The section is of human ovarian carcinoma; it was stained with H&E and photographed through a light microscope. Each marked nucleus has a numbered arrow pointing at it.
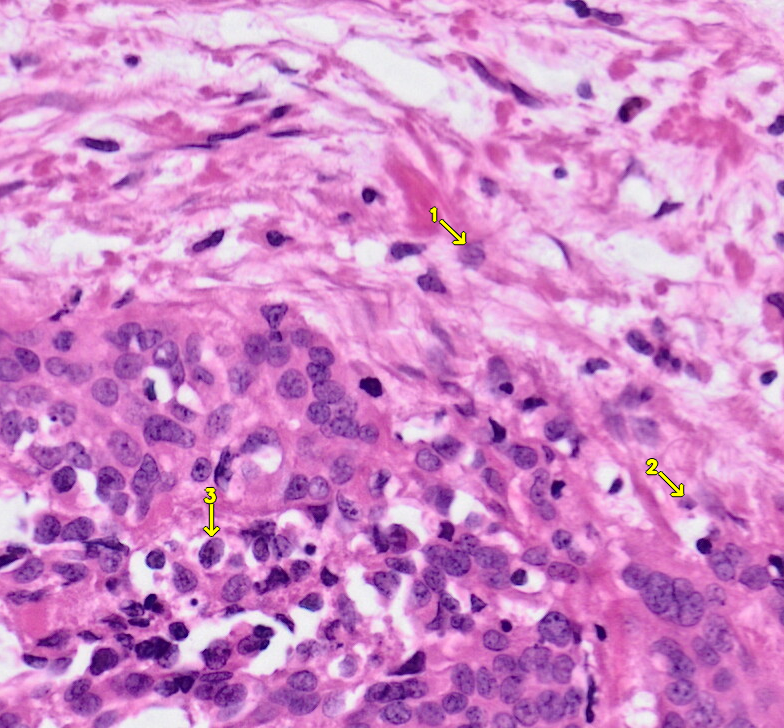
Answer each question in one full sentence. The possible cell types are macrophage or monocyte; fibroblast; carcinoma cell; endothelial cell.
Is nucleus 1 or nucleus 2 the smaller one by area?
Nucleus 2 covers less area, with nucleus 1 about 1.5 times as large.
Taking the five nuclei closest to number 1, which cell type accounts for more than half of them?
Of the five nuclei nearest to number 1, most belong to macrophages or monocytes.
